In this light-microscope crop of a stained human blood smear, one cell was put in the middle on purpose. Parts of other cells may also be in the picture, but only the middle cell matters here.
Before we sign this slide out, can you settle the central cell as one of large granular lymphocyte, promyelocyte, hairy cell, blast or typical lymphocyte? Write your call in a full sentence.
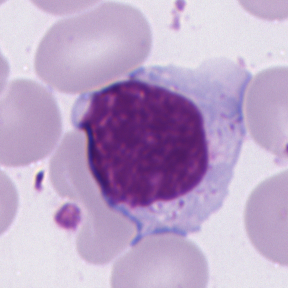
On this slide crop, the central cell is a large granular lymphocyte.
